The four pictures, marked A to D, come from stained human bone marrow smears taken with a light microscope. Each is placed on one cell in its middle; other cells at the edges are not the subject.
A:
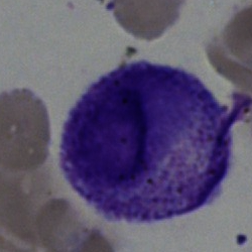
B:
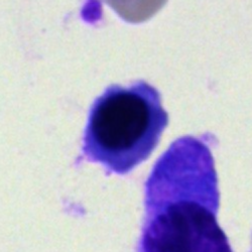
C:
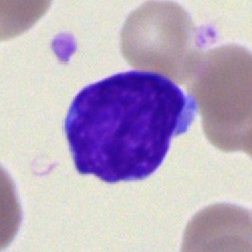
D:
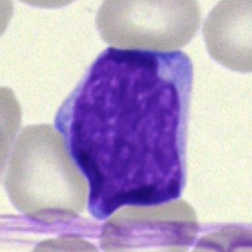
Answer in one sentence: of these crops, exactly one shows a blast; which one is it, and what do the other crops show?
Of the crops, crop D shows a blast, while crop A is a myelocyte, crop B is an erythroblast and crop C is a lymphocyte.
